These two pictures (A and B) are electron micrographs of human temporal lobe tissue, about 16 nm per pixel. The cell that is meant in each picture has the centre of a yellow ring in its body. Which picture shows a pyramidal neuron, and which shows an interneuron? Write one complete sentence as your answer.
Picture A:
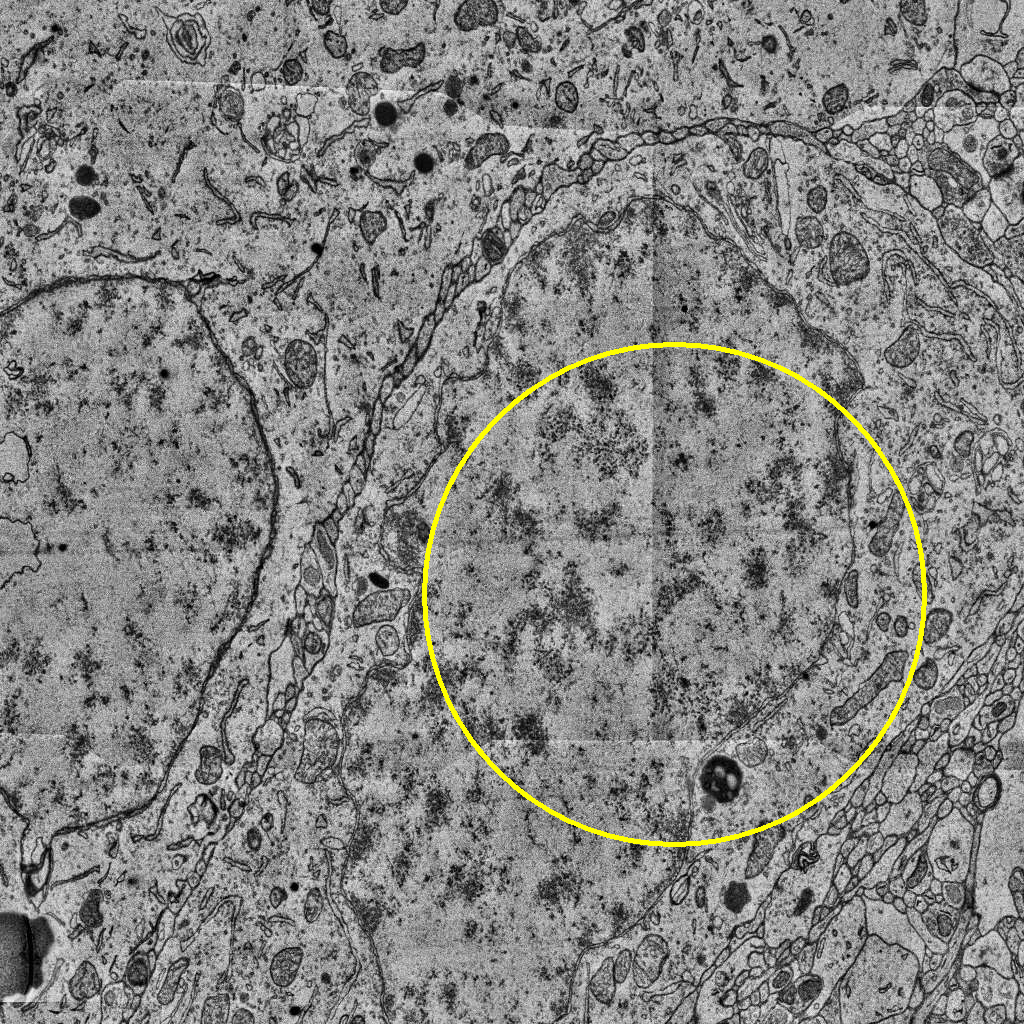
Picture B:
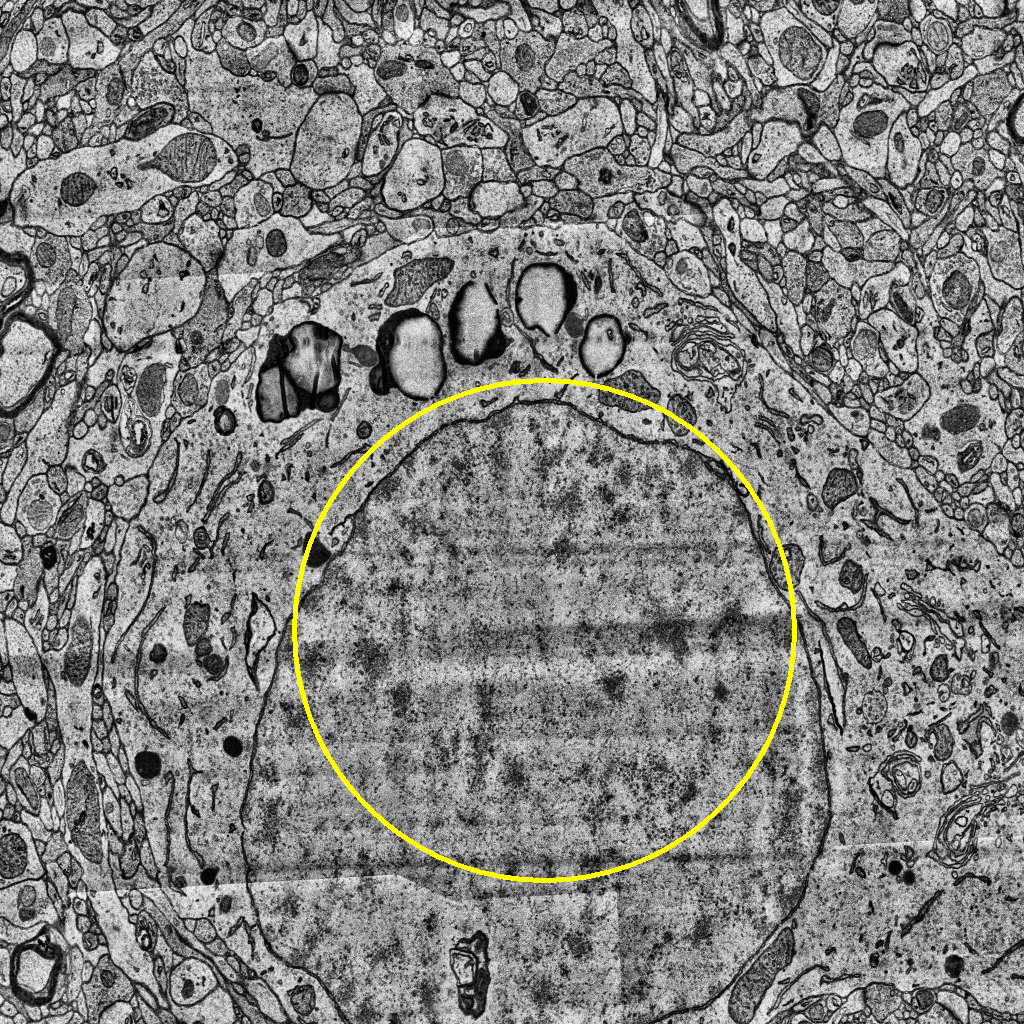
The cell in picture A is an interneuron, and the one in picture B is a pyramidal neuron.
